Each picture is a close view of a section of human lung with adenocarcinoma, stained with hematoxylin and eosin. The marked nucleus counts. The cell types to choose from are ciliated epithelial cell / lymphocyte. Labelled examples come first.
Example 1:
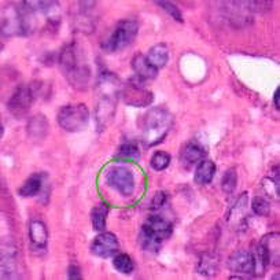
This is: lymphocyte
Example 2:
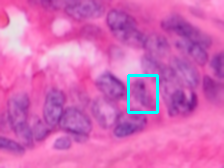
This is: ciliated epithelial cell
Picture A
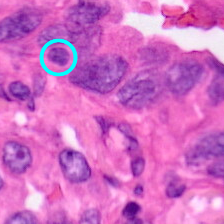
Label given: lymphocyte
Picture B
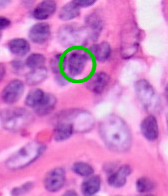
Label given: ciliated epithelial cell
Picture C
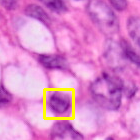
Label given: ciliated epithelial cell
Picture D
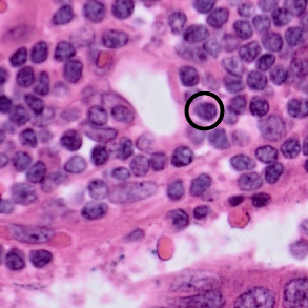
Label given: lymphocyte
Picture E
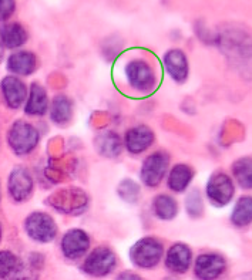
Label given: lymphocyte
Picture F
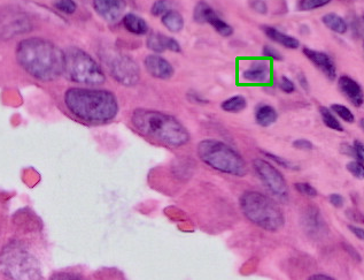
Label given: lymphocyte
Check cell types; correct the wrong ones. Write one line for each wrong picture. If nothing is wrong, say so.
B is labelled ciliated epithelial cell; correct label: lymphocyte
